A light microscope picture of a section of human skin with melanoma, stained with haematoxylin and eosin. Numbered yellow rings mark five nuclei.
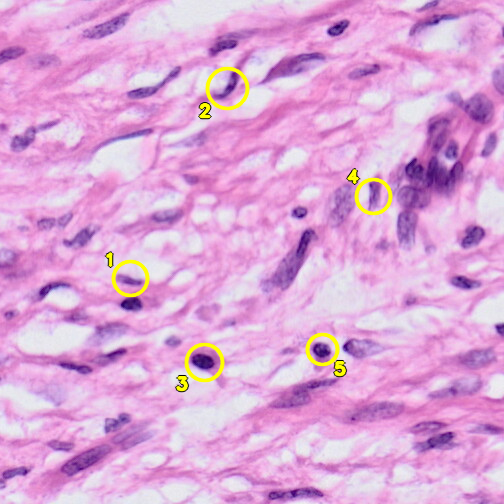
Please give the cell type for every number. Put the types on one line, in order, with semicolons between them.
fibroblast or myofibroblast; fibroblast or myofibroblast; plasma cell; fibroblast or myofibroblast; plasma cell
